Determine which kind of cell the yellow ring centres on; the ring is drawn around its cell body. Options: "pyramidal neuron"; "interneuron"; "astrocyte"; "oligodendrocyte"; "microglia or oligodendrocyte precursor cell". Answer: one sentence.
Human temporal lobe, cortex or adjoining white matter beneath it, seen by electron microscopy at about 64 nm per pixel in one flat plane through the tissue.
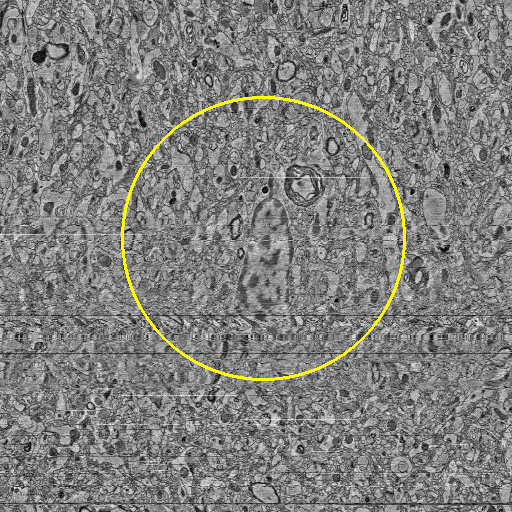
The ring centres on a microglial cell or oligodendrocyte precursor cell.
